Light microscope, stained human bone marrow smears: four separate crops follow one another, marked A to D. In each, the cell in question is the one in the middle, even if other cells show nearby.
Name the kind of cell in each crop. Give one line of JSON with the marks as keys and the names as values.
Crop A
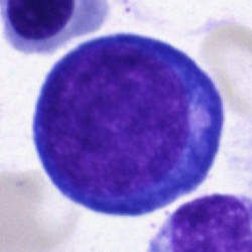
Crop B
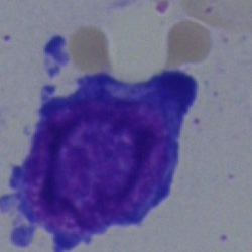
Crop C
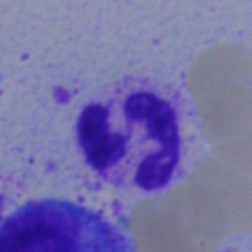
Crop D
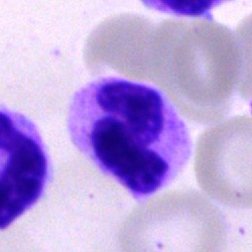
{"A": "proerythroblast", "B": "proerythroblast", "C": "segmented neutrophil", "D": "segmented neutrophil"}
